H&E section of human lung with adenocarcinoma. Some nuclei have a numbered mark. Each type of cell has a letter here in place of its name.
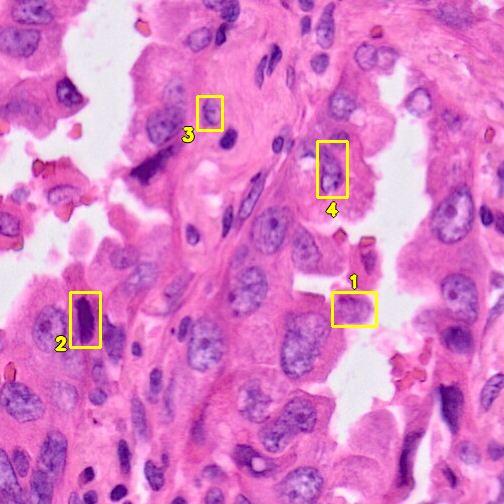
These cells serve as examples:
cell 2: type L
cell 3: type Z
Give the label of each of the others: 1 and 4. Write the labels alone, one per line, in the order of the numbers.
type L
type L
